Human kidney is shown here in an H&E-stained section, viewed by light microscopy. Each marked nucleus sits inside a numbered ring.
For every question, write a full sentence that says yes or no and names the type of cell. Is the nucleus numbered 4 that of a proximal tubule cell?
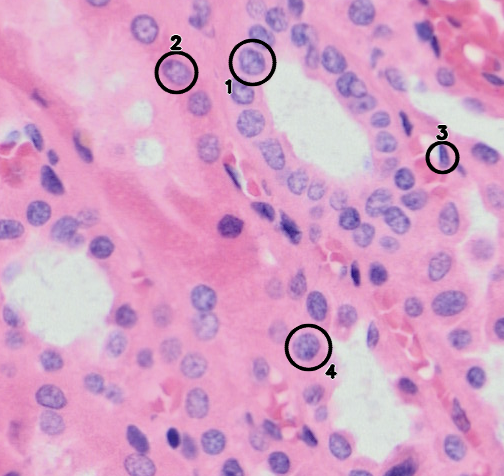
No, the cell carrying number 4 is a loop of Henle or distal tubule cell rather than a proximal tubule cell.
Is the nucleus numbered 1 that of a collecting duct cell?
Yes, the cell pointed out as number 1 is a collecting duct cell.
